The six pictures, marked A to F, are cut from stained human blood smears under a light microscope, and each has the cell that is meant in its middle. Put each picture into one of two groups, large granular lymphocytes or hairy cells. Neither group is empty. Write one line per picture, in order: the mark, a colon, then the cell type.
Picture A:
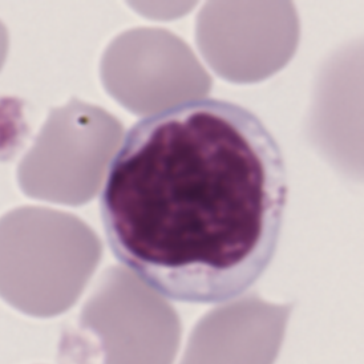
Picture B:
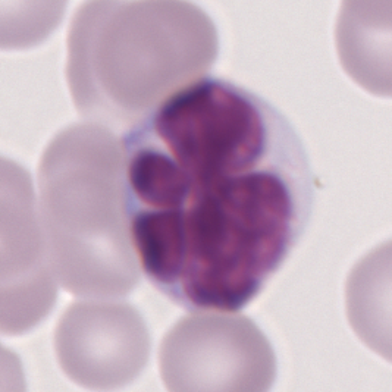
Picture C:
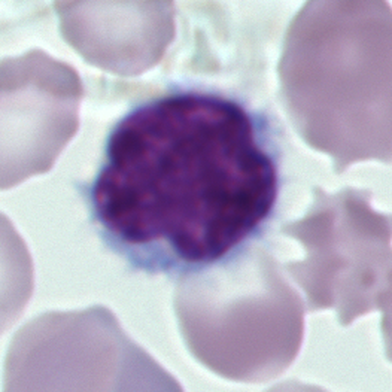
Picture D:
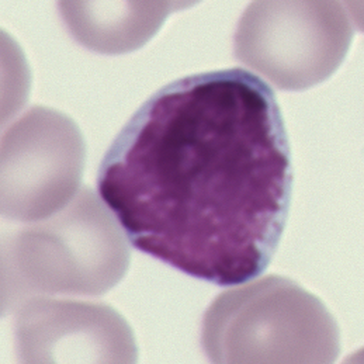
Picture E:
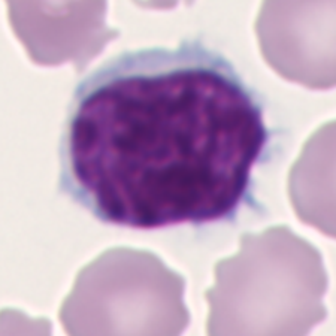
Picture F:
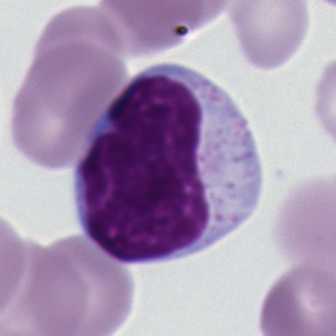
A: large granular lymphocyte
B: large granular lymphocyte
C: hairy cell
D: large granular lymphocyte
E: hairy cell
F: large granular lymphocyte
